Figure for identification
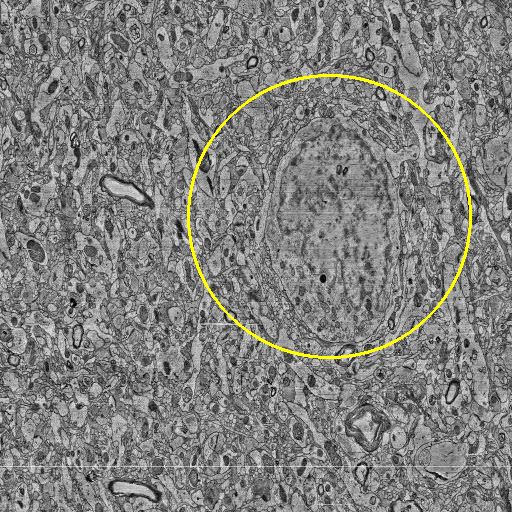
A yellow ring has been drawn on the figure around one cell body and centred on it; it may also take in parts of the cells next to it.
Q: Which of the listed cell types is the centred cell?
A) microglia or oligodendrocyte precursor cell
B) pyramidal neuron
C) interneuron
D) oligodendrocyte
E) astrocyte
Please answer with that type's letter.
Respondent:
C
